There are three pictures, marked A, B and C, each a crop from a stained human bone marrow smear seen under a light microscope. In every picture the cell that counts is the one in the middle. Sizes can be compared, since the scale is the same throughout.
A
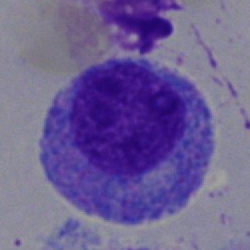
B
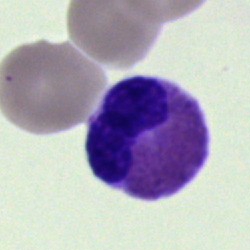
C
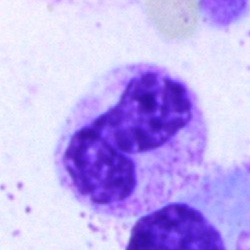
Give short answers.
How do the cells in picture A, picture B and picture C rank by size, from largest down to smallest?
A, C, B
